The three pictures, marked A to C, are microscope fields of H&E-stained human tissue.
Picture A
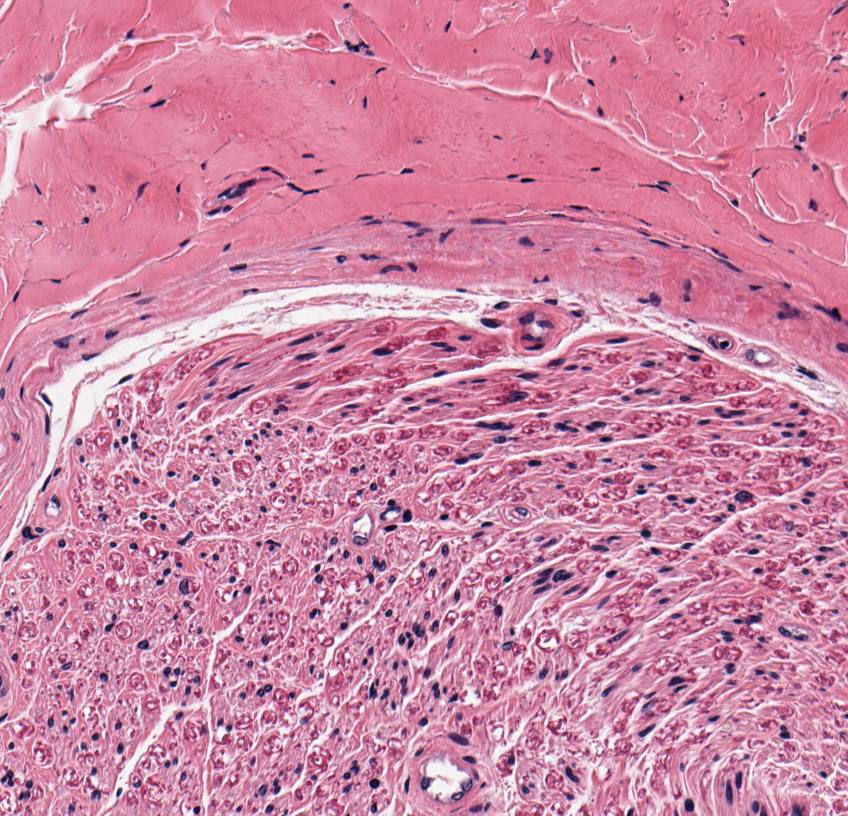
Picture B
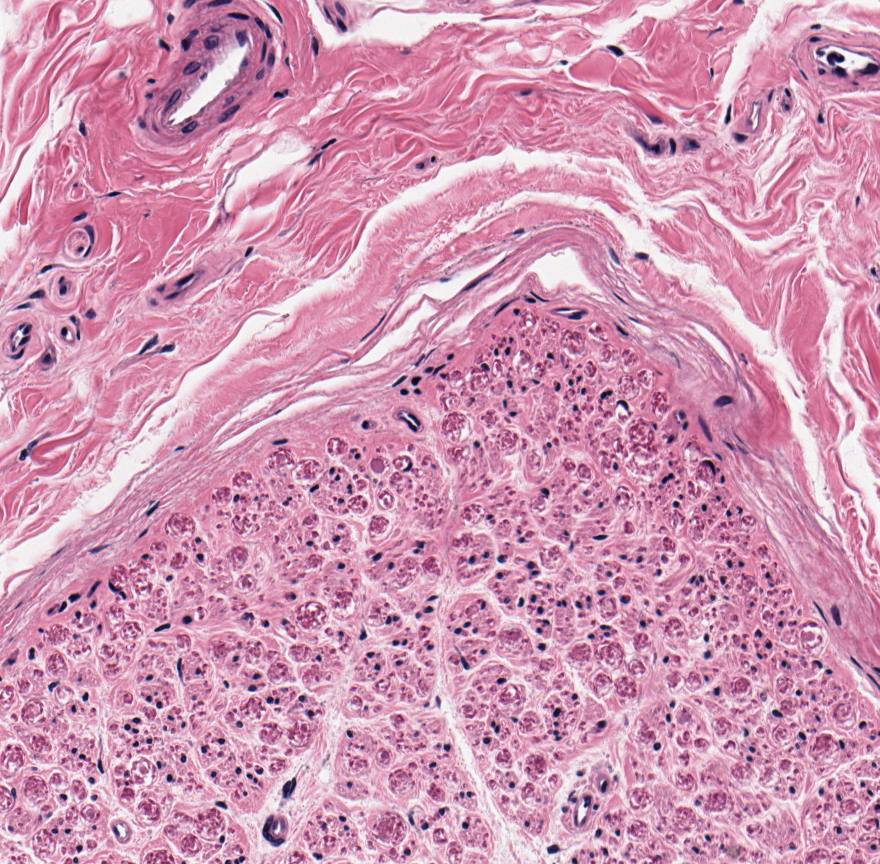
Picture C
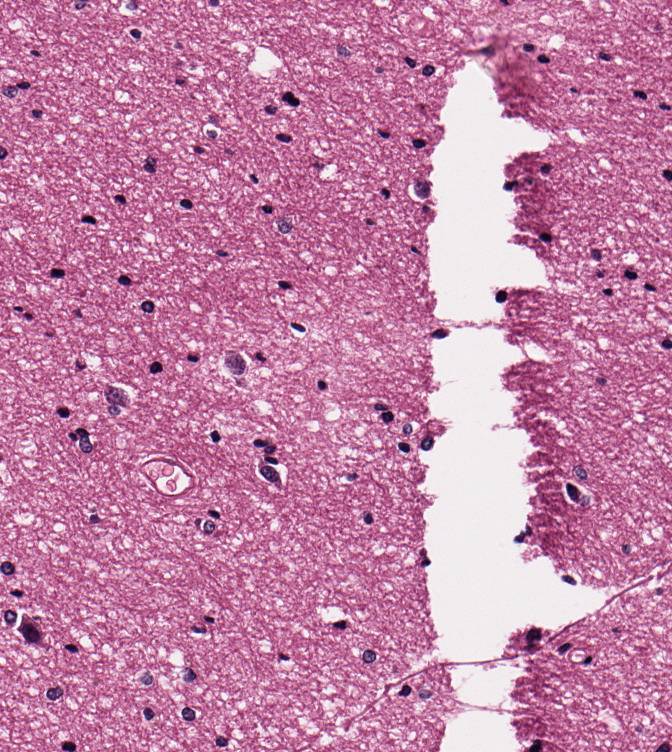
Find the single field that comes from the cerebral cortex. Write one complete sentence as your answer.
The one that comes from the cerebral cortex is picture C.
